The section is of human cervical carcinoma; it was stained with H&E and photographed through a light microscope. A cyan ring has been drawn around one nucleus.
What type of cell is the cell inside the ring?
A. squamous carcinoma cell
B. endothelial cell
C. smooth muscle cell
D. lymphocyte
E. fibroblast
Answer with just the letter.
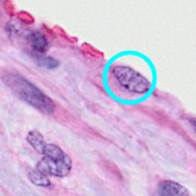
B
